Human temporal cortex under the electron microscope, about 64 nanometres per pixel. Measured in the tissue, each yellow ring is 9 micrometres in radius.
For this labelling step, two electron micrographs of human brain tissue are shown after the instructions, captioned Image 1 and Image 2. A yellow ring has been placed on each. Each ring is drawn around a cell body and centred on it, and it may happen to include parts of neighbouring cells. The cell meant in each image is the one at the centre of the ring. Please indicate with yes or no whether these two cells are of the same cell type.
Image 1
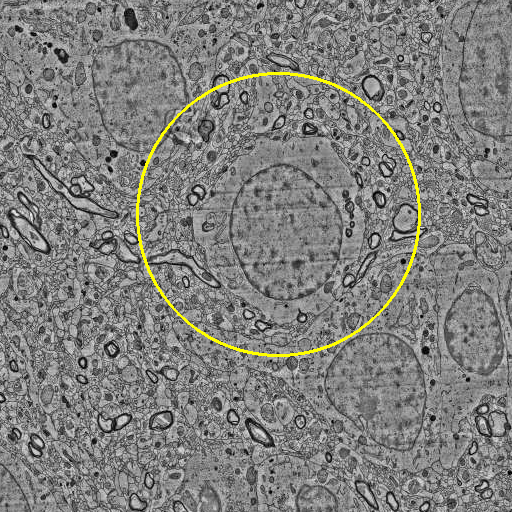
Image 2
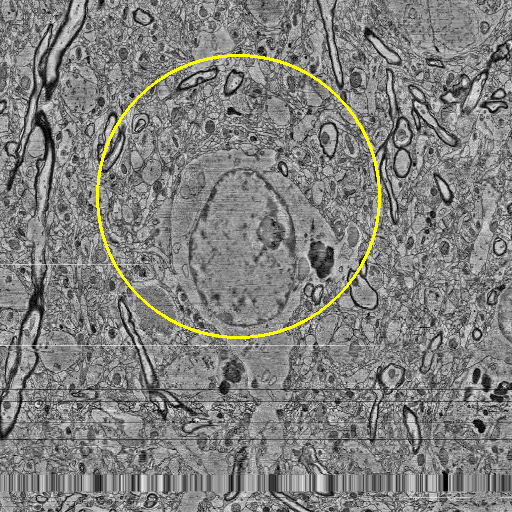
yes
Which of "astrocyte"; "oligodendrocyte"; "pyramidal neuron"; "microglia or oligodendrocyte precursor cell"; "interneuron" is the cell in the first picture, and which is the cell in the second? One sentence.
The ring centre holds an astrocyte in each of the two pictures.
